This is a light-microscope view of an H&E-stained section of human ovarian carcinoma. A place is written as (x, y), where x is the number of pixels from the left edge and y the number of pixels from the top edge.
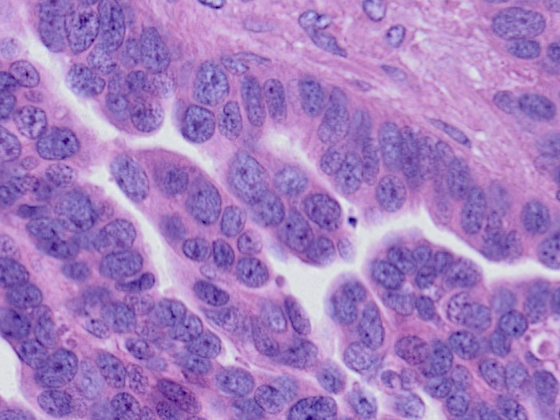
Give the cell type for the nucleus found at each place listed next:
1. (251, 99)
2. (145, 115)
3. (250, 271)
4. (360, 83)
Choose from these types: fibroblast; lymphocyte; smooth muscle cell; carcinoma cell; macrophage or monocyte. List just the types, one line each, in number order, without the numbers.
carcinoma cell
carcinoma cell
carcinoma cell
fibroblast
